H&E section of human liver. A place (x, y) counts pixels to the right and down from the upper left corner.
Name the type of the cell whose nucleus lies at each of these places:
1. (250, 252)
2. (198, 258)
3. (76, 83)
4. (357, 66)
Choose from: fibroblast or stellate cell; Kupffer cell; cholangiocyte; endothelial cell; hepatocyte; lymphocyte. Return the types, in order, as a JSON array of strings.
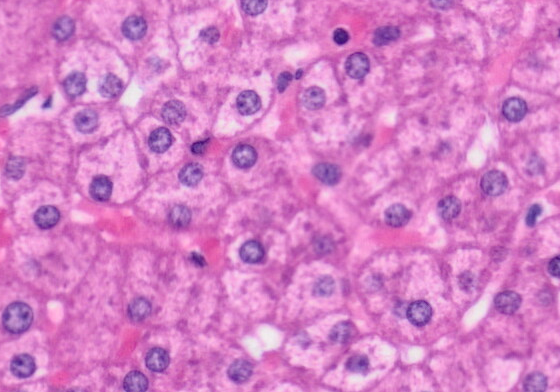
["hepatocyte", "endothelial cell", "hepatocyte", "hepatocyte"]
